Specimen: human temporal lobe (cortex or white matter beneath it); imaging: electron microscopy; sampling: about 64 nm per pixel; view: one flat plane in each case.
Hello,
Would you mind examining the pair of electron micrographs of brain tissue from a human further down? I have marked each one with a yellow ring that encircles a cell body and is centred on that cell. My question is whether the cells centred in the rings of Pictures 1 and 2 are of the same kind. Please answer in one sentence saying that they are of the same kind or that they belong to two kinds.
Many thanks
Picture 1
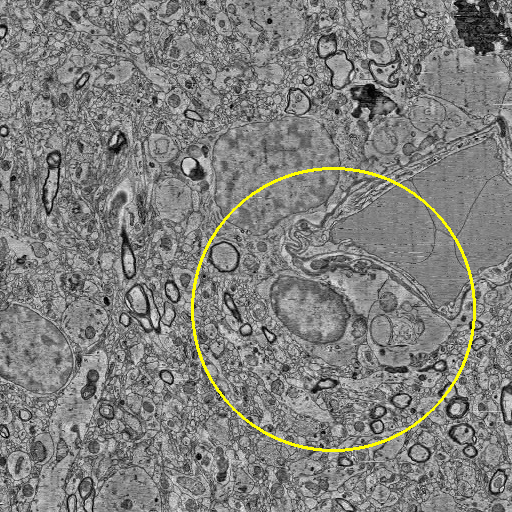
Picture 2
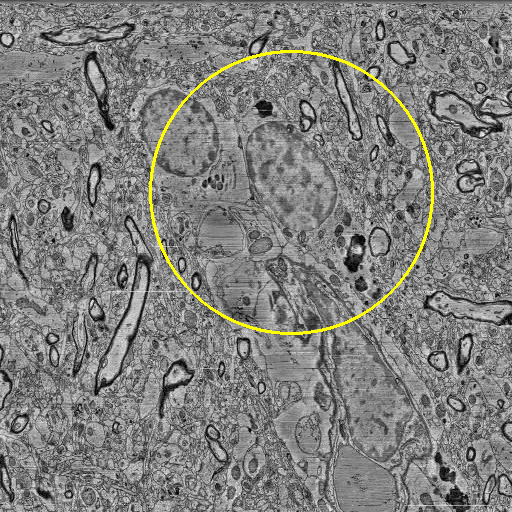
In Pictures 1 and 2, the cells at the heart of the rings are of the same kind.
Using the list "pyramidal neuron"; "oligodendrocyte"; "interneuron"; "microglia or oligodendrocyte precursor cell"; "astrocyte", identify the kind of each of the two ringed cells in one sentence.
In each of the two pictures, the ringed cell is an oligodendrocyte.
